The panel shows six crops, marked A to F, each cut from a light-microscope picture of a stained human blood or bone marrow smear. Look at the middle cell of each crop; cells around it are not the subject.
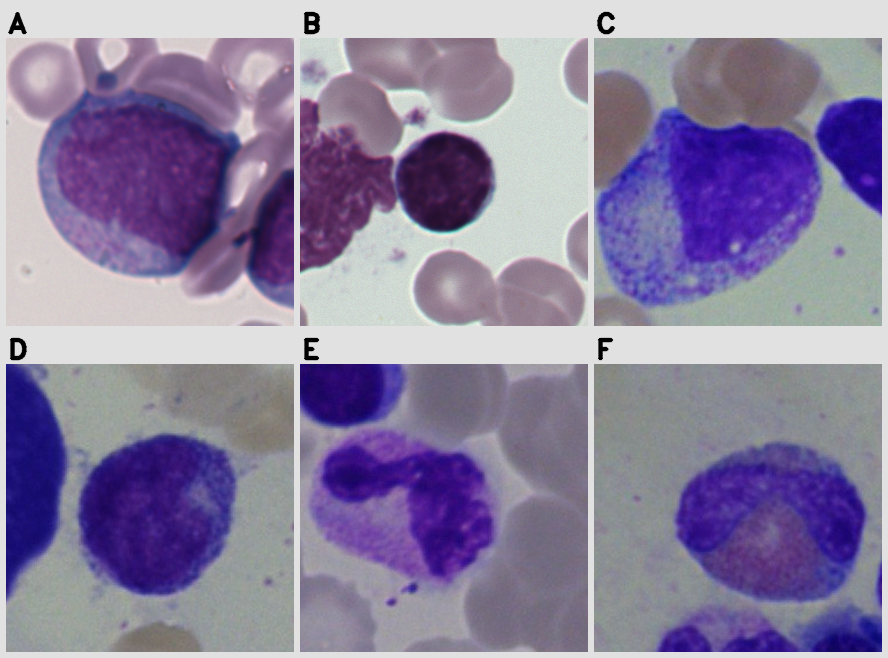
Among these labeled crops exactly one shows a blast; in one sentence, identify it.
Crop D is the crop whose central cell is a blast.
